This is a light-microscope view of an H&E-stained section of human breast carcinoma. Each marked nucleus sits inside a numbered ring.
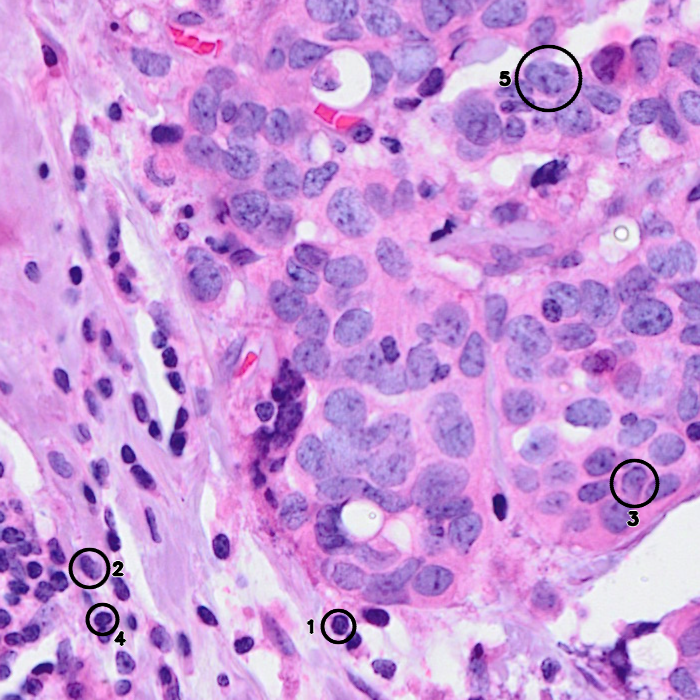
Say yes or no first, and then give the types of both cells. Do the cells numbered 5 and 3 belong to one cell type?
Yes, cells 5 and 3 both belong to the category of carcinoma cells.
